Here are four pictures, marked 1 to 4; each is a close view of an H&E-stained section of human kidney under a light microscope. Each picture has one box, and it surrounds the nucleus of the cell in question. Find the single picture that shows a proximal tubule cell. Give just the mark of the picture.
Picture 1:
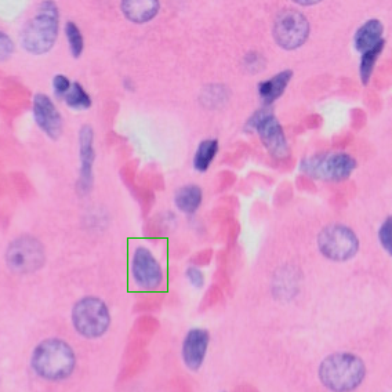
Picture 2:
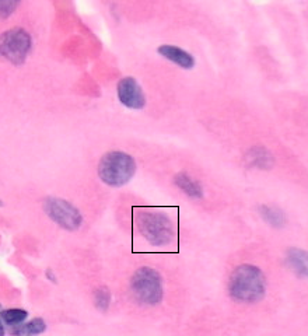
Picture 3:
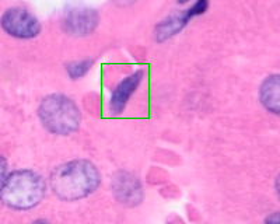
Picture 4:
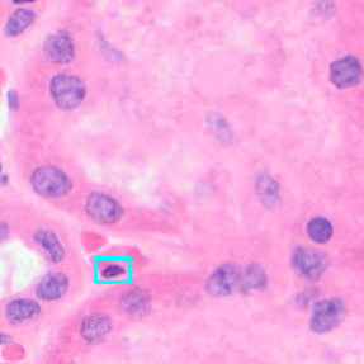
2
